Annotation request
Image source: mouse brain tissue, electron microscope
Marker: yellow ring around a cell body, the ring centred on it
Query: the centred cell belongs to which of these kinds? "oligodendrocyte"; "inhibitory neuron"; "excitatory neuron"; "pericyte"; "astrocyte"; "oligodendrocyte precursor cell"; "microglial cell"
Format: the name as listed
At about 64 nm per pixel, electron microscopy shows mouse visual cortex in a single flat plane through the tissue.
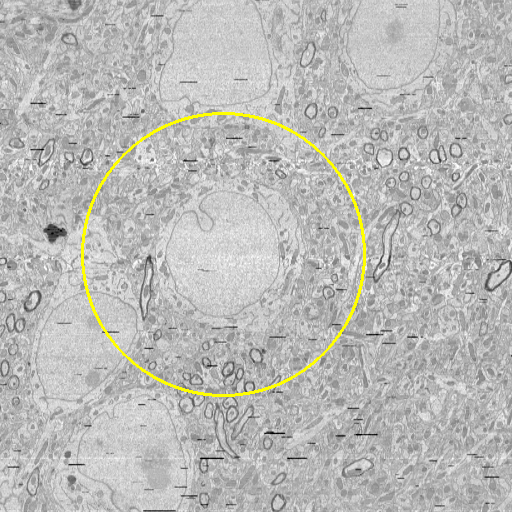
excitatory neuron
